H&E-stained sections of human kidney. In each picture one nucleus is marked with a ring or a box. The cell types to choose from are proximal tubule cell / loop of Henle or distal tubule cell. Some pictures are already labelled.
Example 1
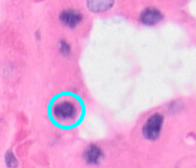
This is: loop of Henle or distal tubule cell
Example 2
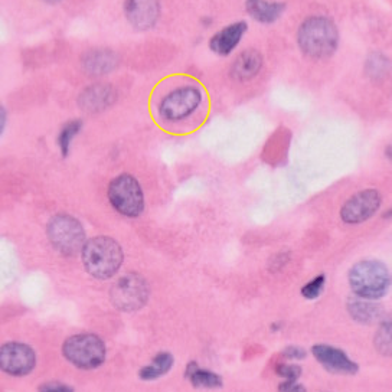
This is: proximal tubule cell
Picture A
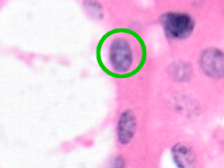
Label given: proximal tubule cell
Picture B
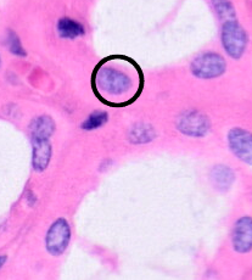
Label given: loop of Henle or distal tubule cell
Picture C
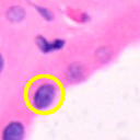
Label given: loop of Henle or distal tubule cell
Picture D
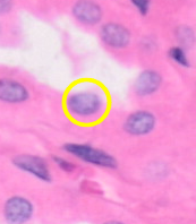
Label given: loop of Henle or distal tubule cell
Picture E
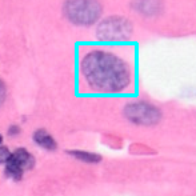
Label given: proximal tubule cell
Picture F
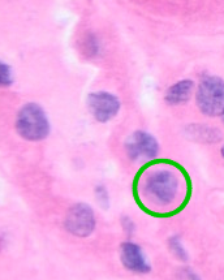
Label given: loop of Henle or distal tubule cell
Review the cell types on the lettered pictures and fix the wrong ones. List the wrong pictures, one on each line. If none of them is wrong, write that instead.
Wrong: A (proximal tubule cell); correct: loop of Henle or distal tubule cell
Wrong: E (proximal tubule cell); correct: loop of Henle or distal tubule cell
